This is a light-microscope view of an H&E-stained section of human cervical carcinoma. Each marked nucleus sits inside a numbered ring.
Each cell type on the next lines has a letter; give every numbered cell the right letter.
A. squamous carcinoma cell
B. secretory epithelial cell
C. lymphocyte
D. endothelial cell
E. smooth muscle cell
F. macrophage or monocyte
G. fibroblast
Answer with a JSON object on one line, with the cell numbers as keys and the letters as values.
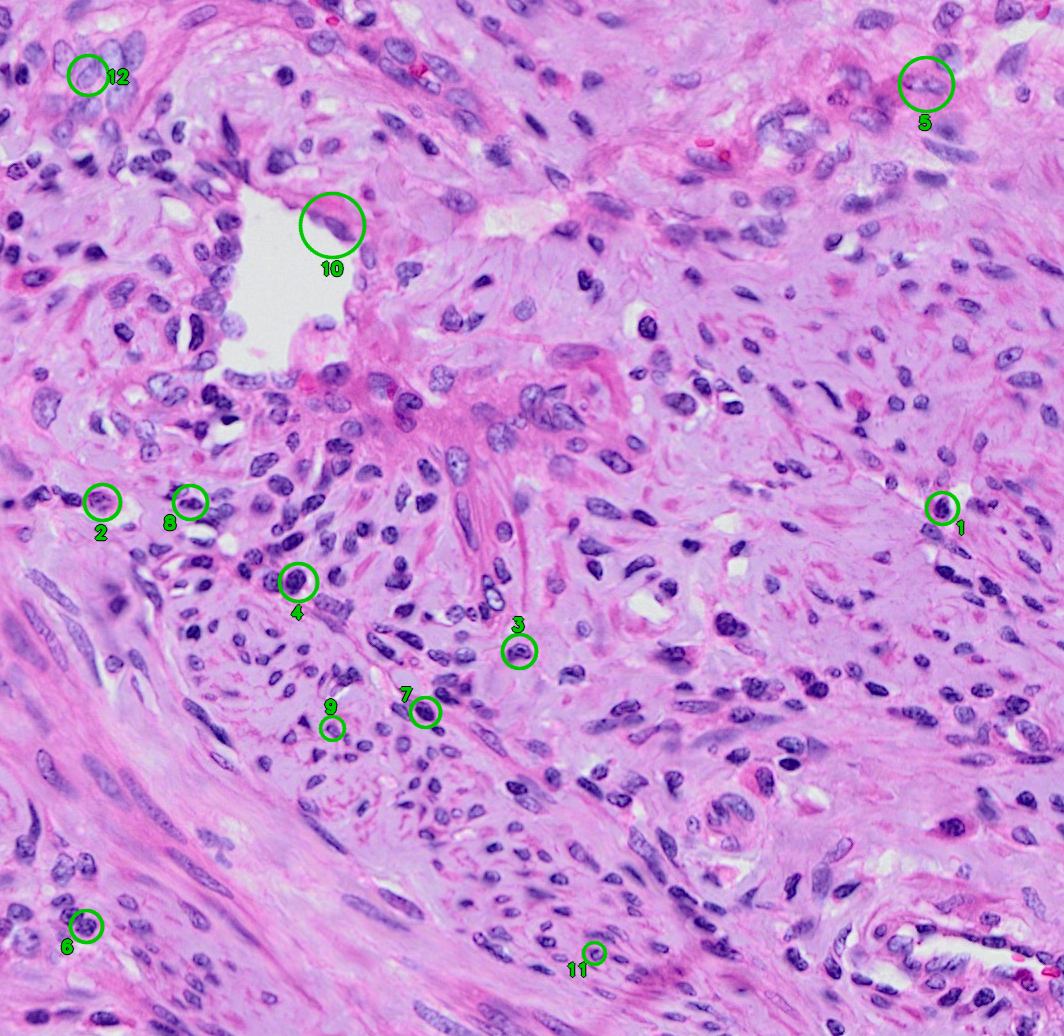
{"1": "C", "2": "F", "3": "C", "4": "C", "5": "D", "6": "C", "7": "C", "8": "C", "9": "E", "10": "D", "11": "E", "12": "D"}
